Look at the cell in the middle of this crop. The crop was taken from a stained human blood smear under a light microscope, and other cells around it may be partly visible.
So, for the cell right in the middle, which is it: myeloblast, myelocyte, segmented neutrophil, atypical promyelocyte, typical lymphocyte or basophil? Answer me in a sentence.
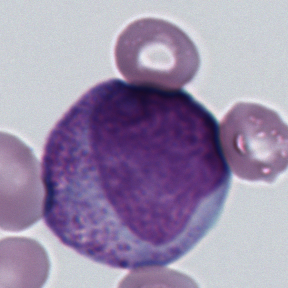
The central cell, amid any neighbouring cells, is an atypical promyelocyte.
